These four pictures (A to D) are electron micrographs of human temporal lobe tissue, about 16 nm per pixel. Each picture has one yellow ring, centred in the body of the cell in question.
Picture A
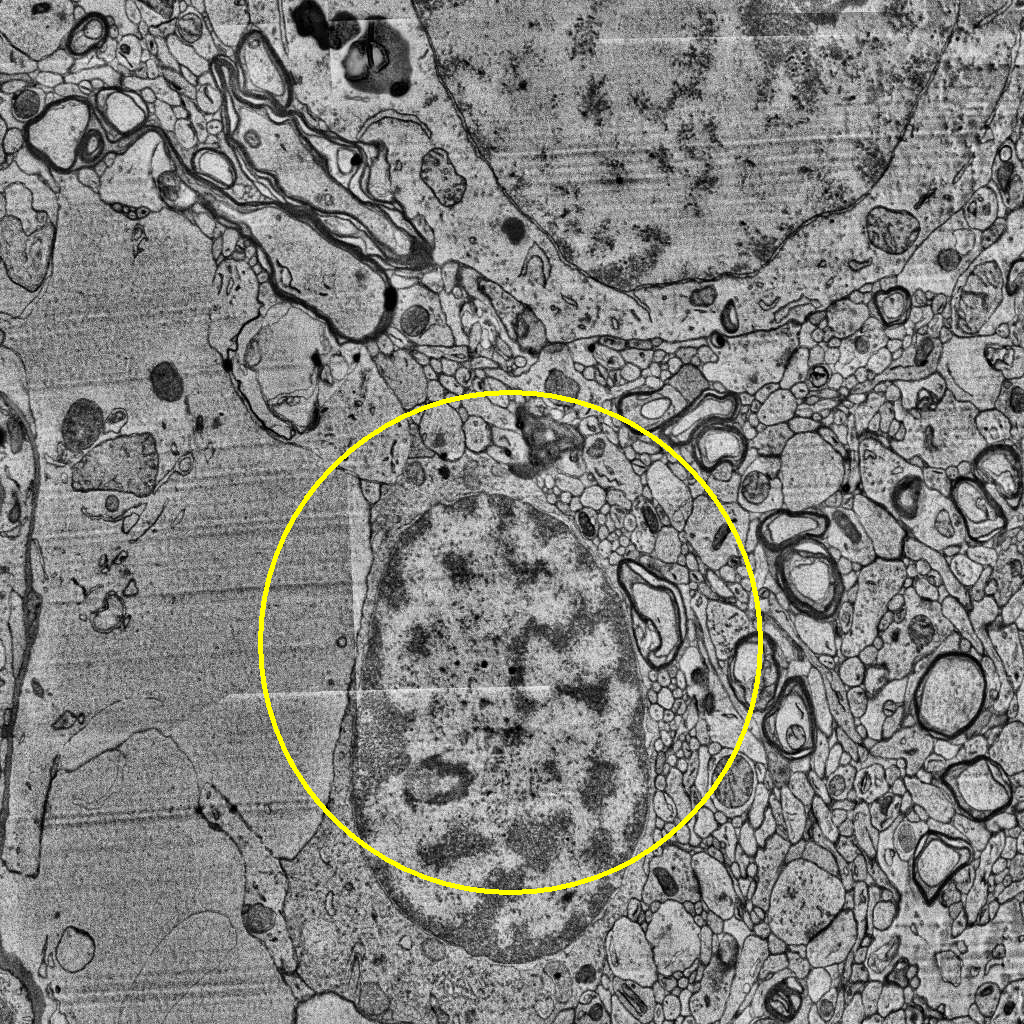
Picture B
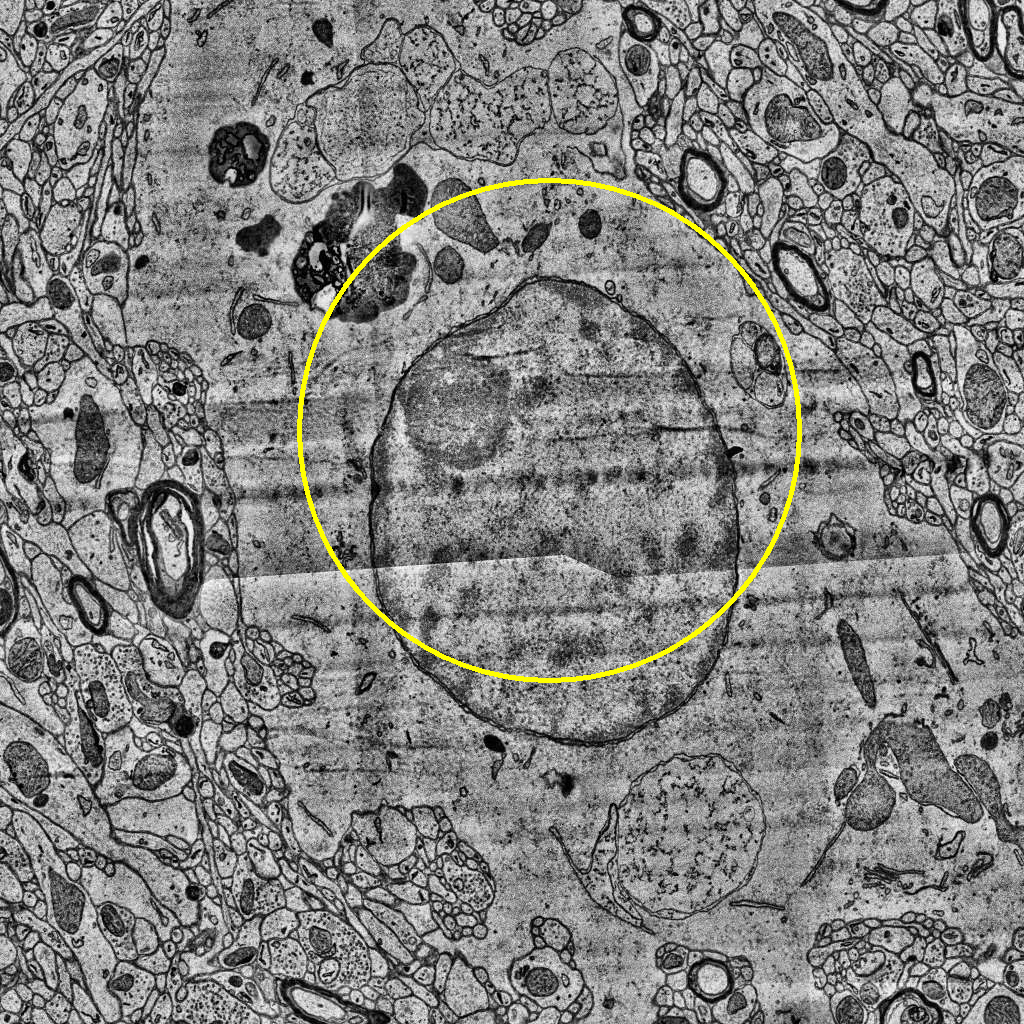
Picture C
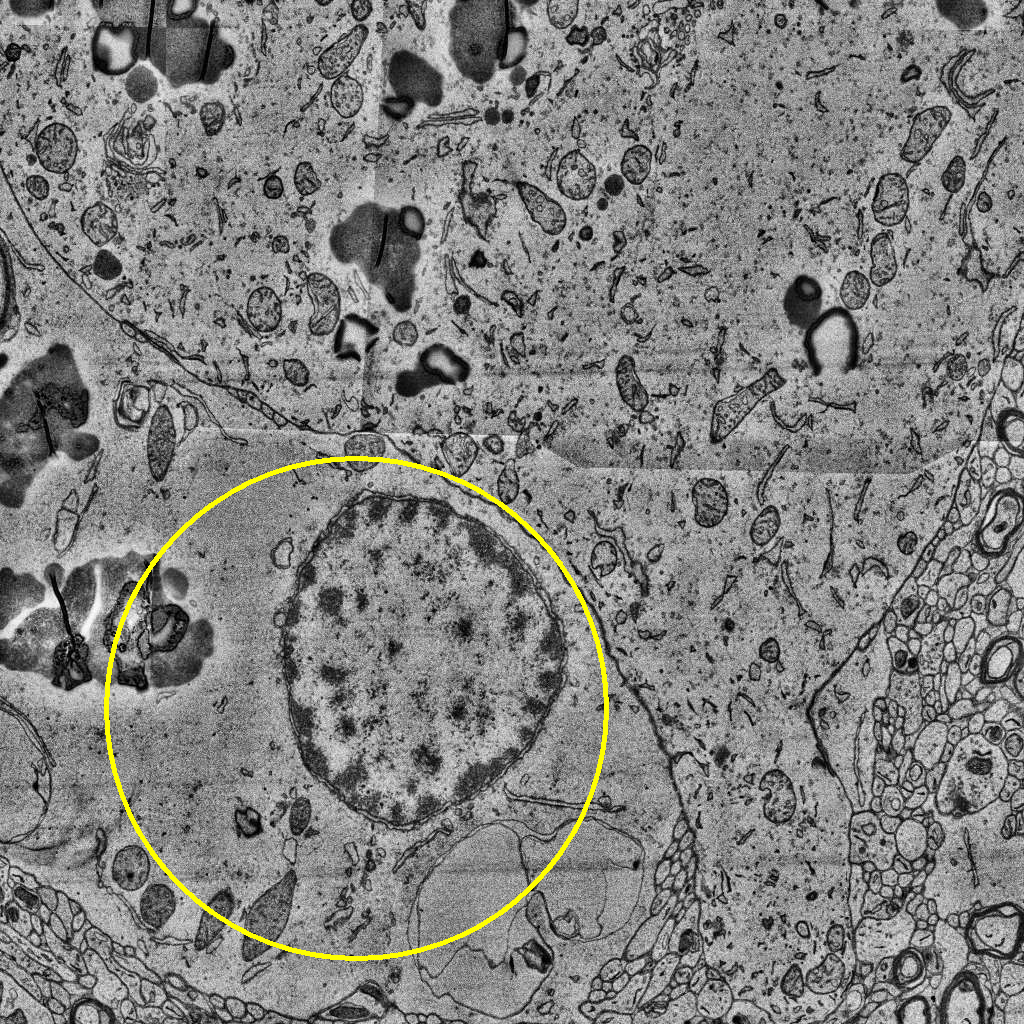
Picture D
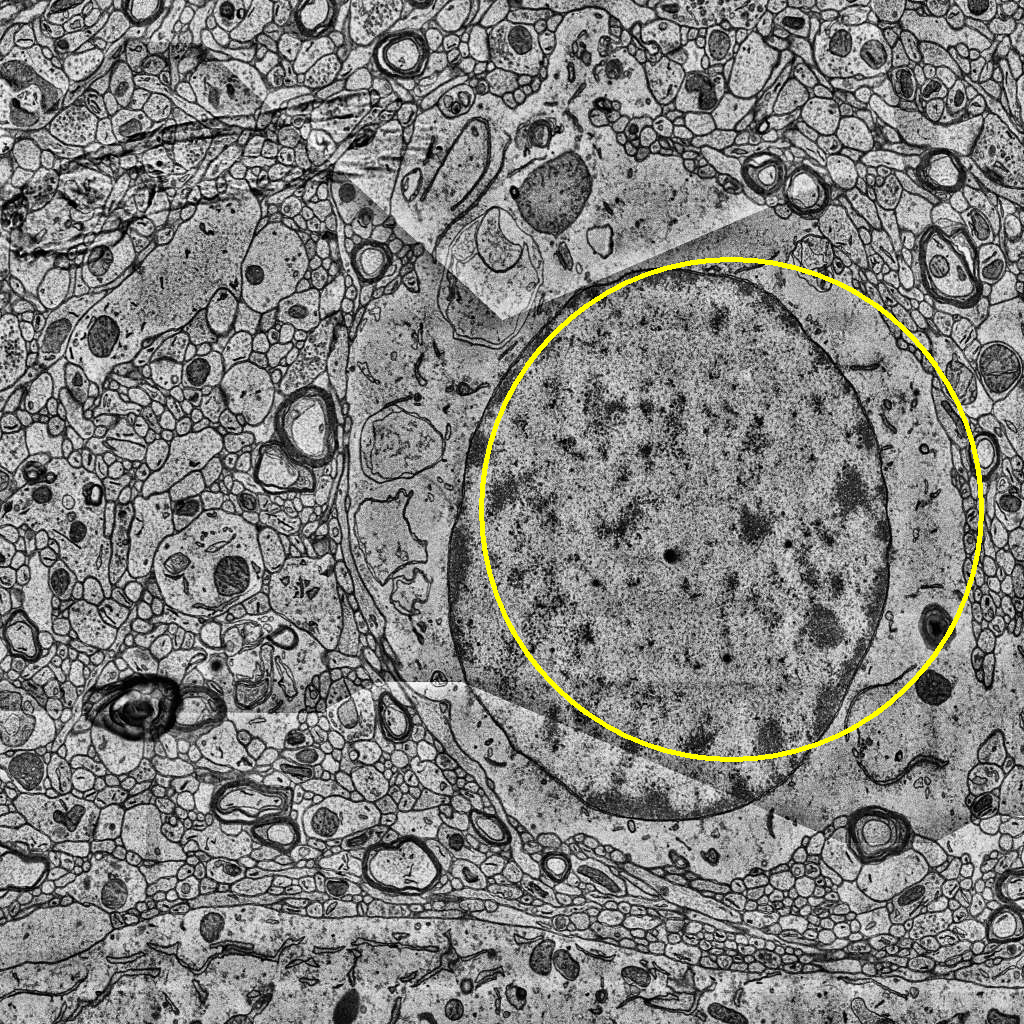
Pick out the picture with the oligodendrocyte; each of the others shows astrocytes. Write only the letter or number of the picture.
A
